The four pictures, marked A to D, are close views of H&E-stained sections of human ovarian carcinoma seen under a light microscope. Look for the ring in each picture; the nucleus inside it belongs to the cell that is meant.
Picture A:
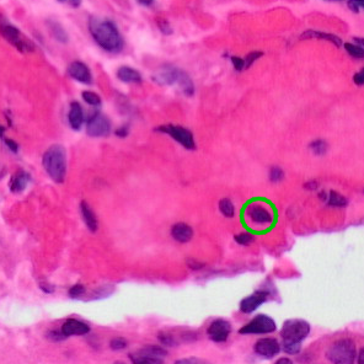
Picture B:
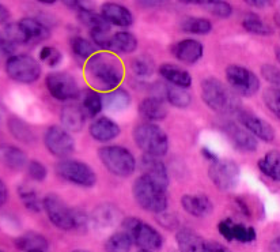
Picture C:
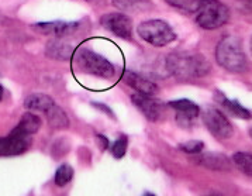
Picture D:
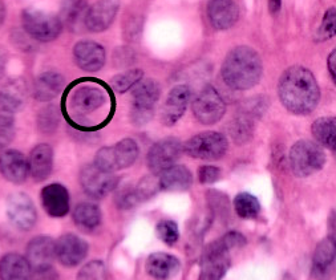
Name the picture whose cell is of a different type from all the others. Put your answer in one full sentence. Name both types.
All pictures except A show carcinoma cells; picture A shows an endothelial cell.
